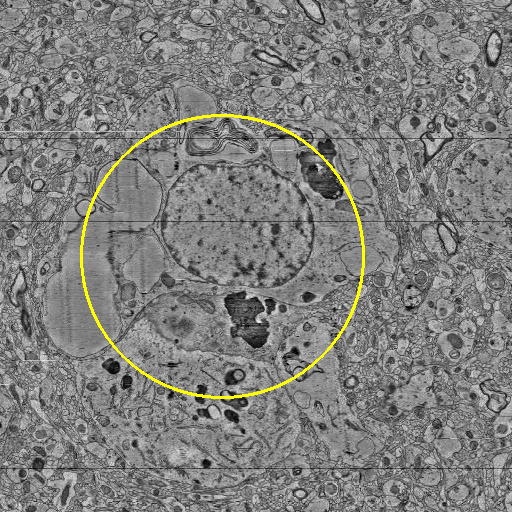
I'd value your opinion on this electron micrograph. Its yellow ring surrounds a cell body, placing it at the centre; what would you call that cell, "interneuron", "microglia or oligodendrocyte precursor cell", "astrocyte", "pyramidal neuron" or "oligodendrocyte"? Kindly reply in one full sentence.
It is an astrocyte that sits centred within the yellow ring in this micrograph.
